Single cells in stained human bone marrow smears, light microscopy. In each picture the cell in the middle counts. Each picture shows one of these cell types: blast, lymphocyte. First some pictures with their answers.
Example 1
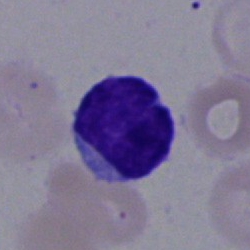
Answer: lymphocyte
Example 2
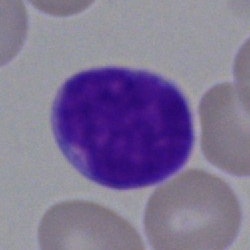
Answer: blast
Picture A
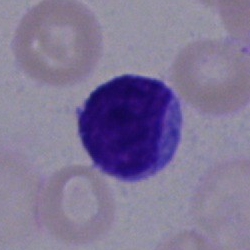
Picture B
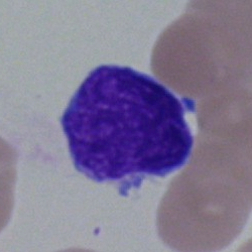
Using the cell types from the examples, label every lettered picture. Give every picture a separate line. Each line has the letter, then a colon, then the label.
A: lymphocyte
B: blast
